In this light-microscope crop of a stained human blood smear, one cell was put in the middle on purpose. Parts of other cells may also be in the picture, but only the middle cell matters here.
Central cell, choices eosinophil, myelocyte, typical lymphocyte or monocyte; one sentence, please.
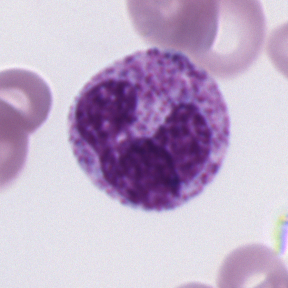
The cell sitting right in the middle is an eosinophil.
